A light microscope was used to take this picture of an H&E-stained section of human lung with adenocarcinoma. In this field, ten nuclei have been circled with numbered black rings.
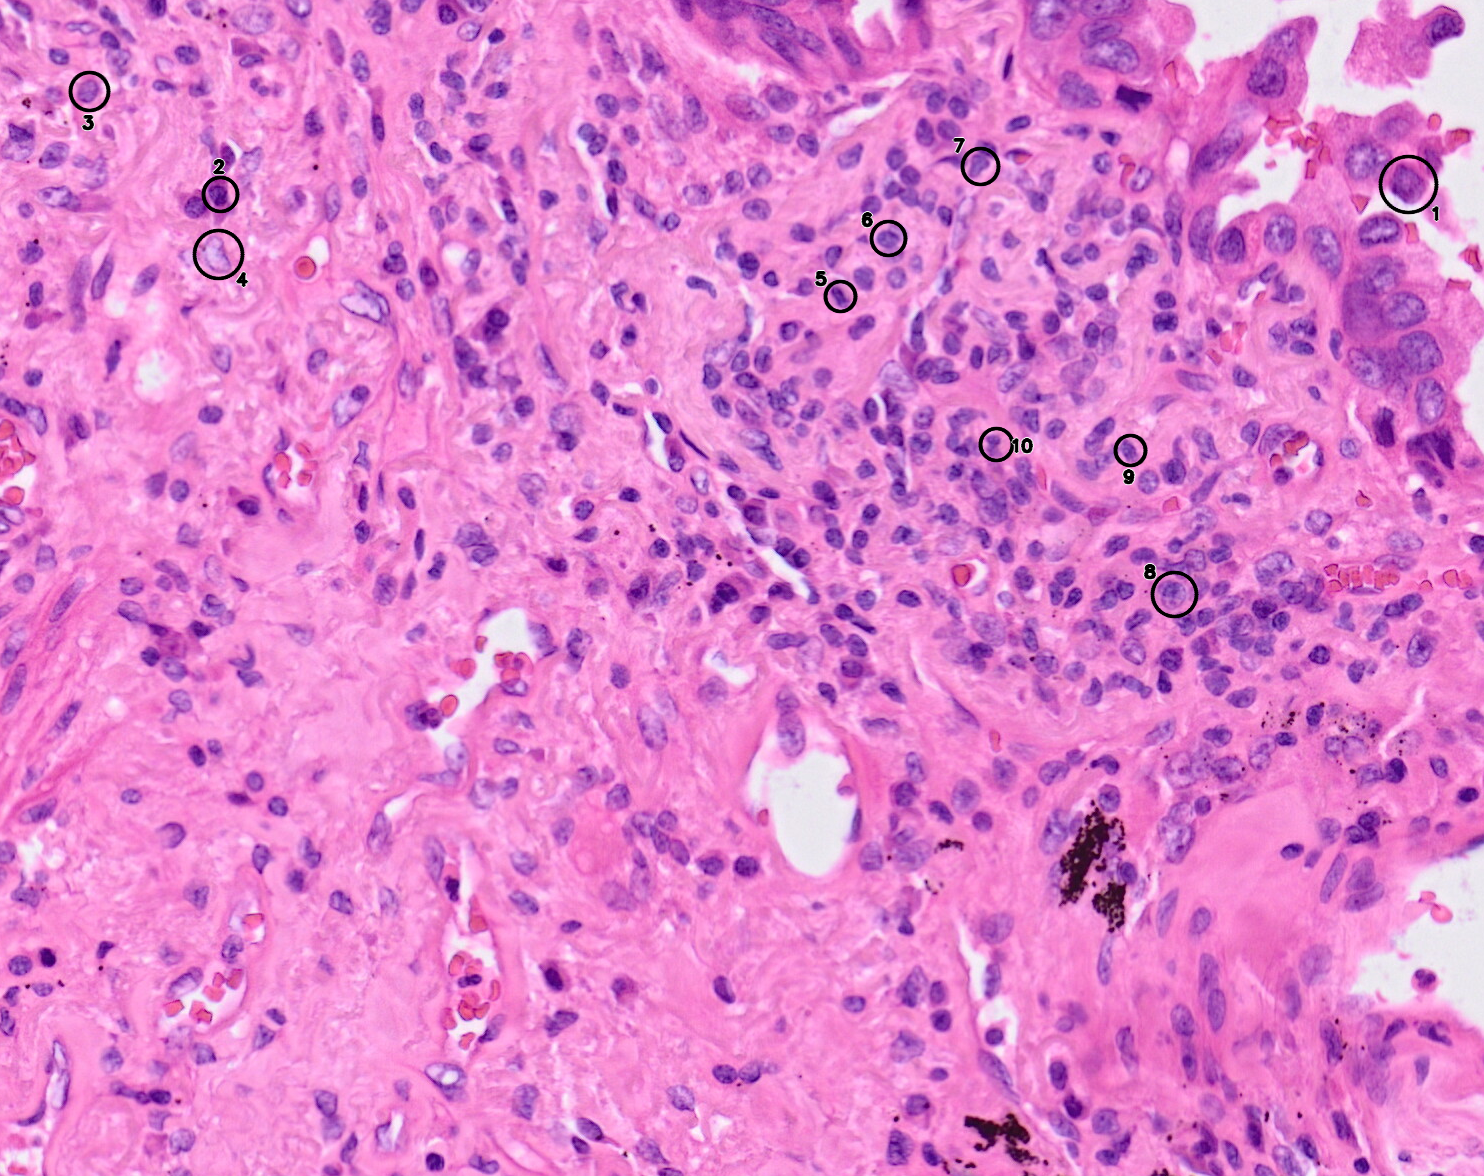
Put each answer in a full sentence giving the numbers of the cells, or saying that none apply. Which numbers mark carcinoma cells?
The nucleus labelled 1 alone belongs to a carcinoma cell; the other marked nuclei do not.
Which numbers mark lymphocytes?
The cells marked by the numbers 5, 6, 7, 8, 9 and 10 are lymphocytes.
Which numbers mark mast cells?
Only the cell numbered 3 is a mast cell, and the others are something else.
